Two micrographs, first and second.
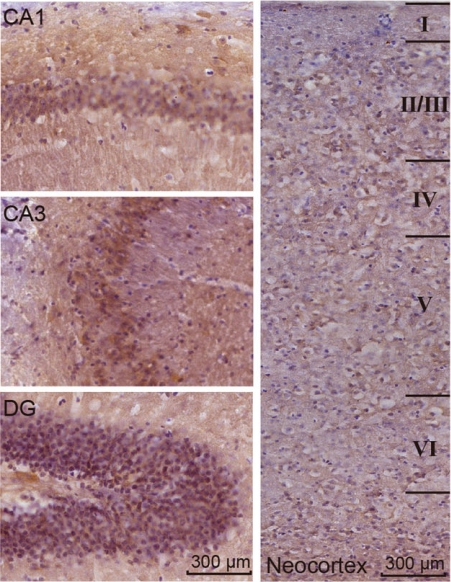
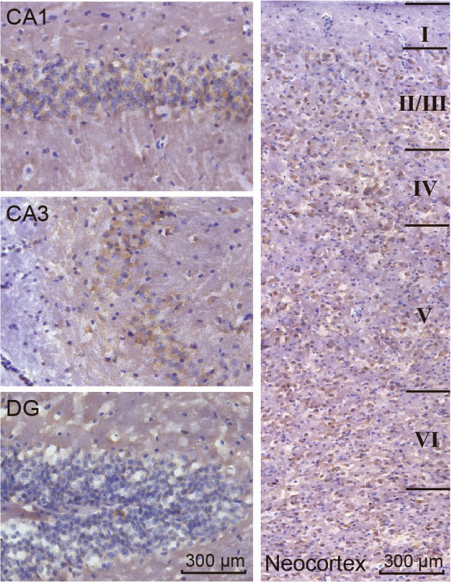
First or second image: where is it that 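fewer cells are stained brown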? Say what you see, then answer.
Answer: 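Second image: the dentate cell layer is mostly blue with little brown, and brown is patchy in the other layers. First image: the dentate cell layer and pyramidal layers are strongly brown.
The second image.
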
